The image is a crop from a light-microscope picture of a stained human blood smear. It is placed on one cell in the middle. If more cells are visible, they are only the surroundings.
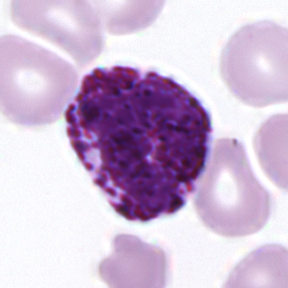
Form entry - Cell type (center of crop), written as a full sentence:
Standing at the centre of this crop is a basophil.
